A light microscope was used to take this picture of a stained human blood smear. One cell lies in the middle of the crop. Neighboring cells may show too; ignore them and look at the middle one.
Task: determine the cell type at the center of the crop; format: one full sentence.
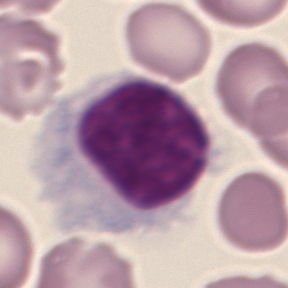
Centred in the crop is a hairy cell.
